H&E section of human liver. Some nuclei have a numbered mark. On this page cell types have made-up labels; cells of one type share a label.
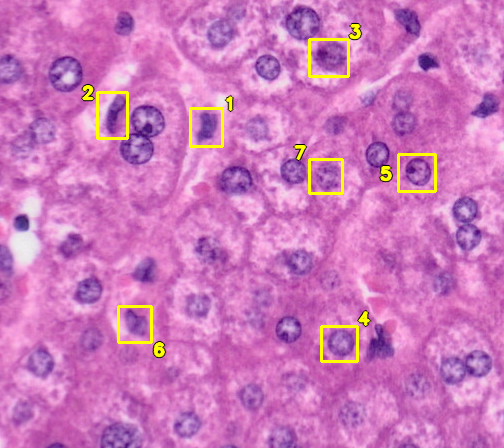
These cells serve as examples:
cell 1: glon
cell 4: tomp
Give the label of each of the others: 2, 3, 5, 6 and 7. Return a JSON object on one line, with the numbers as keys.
{"2": "glon", "3": "tomp", "5": "tomp", "6": "glon", "7": "tomp"}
